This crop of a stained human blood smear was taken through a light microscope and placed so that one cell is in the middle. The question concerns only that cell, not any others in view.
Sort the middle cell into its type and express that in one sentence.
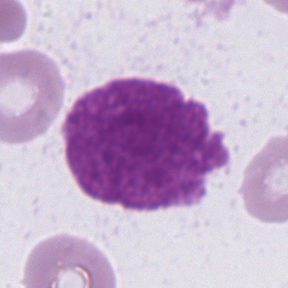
This crop has a smudge cell at its centre.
